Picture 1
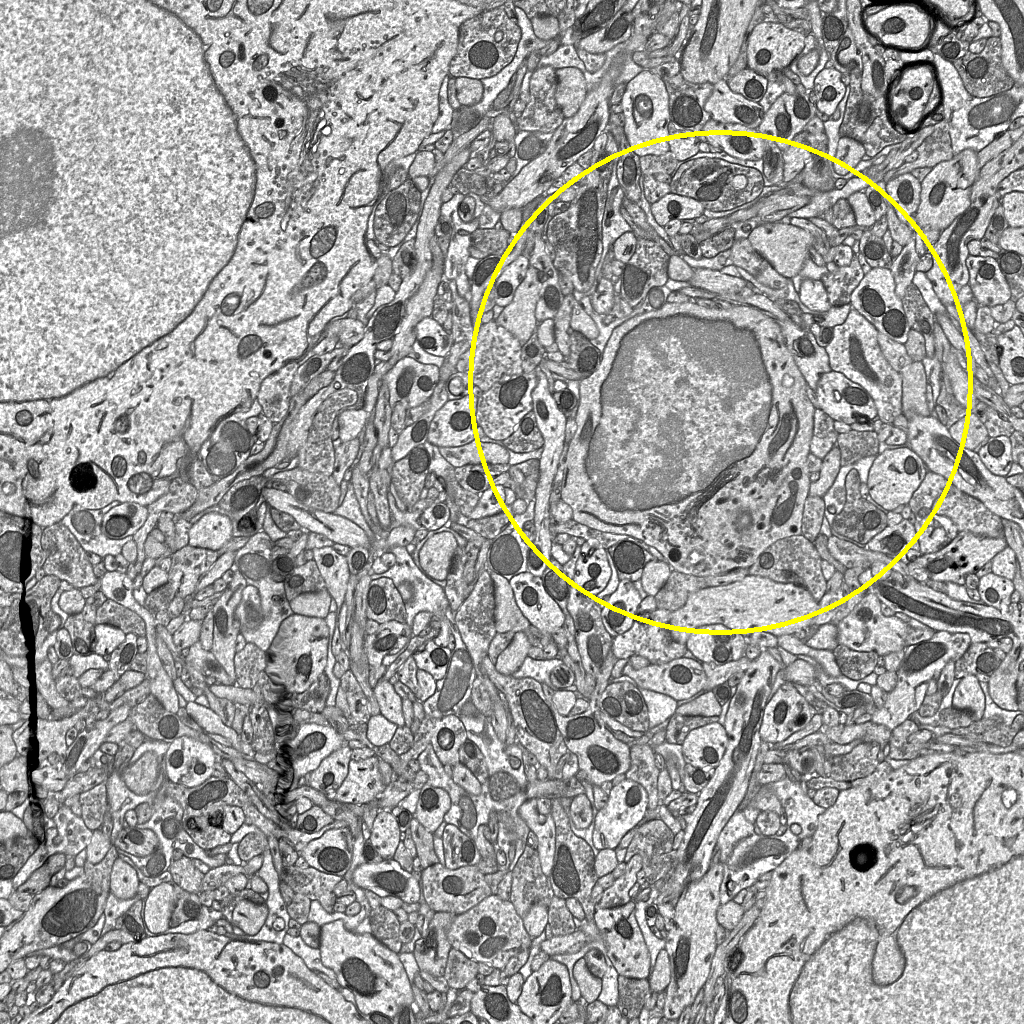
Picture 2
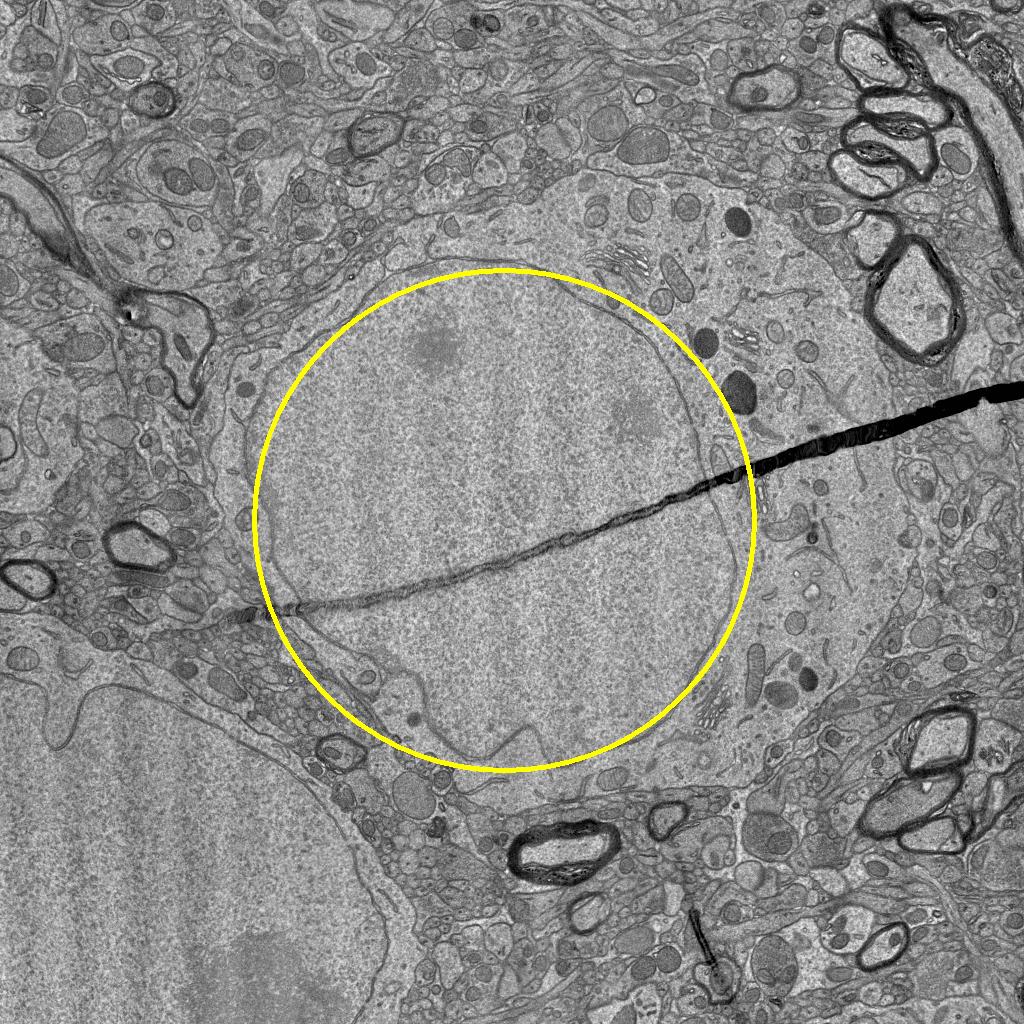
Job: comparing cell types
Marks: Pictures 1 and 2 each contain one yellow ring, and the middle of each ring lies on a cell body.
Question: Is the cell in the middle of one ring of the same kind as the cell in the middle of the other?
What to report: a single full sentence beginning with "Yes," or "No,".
No, the cell at the ring centre in Picture 1 and its partner in Picture 2 are of two kinds.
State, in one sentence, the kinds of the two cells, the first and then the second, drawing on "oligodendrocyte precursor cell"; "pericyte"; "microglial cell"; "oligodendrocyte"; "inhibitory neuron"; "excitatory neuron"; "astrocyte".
The ring in the first picture surrounds a microglial cell, and the ring in the second surrounds an excitatory neuron.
